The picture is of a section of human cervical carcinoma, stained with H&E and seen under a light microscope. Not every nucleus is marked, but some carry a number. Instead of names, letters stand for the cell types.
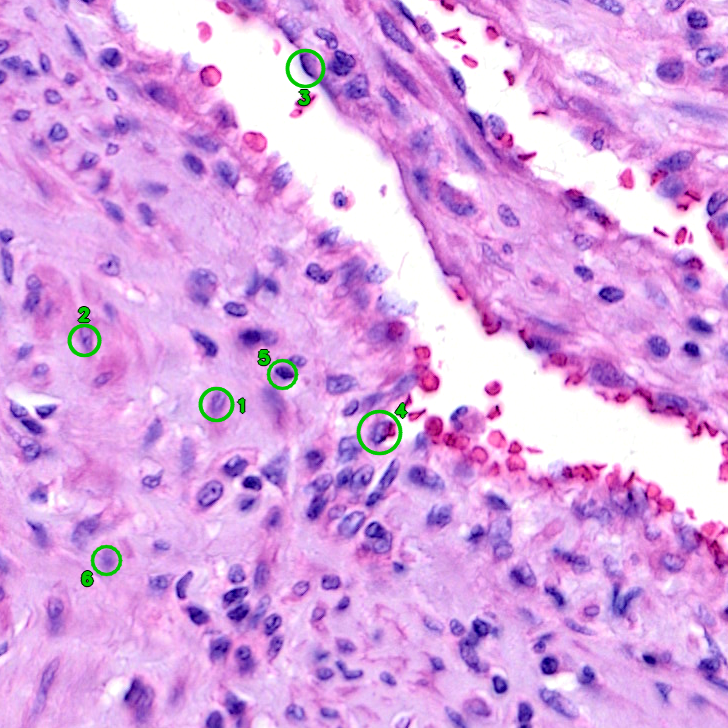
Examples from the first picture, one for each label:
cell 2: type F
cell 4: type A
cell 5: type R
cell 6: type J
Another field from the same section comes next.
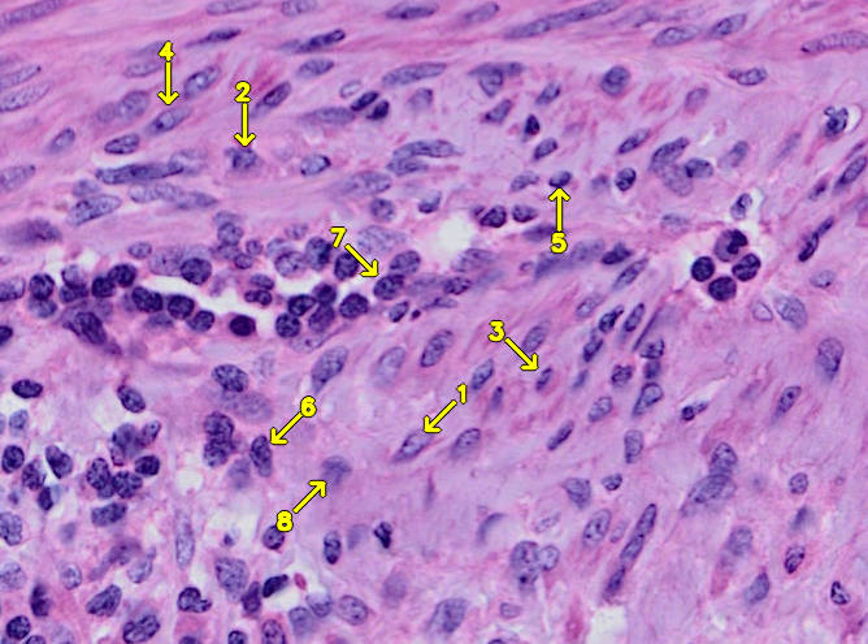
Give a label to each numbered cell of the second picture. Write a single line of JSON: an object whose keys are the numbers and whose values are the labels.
{"1": "type F", "2": "type A", "3": "type F", "4": "type F", "5": "type J", "6": "type R", "7": "type R", "8": "type J"}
